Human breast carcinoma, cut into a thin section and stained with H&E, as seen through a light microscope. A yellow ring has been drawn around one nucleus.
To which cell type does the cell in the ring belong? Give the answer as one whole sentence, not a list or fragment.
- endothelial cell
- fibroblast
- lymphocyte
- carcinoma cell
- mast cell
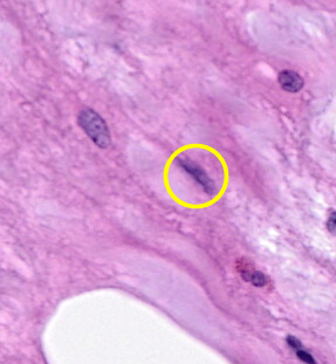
The identity of the cell in the ring: it is a fibroblast.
